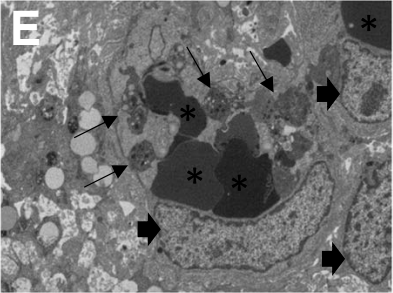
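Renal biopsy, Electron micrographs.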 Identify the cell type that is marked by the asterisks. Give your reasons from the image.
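Erythrocytes. The asterisks lie on homogeneous, very electron-dense bodies without nuclei. These bodies are rounded or molded against each other within a lumen.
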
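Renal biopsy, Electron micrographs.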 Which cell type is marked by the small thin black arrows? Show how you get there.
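The thin arrows point to small anucleate cell fragments. These fragments contain small dark granules and lie among the dense red-cell profiles. On this evidence: platelets.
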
